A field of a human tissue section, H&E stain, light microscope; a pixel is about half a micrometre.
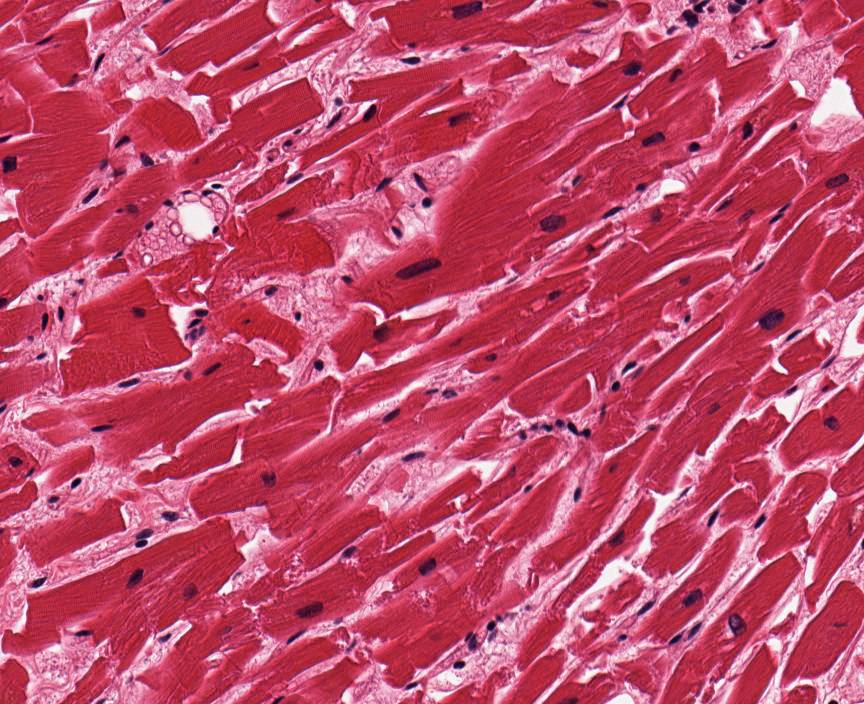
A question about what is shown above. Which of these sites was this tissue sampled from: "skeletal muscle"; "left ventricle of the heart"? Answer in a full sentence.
The site this tissue was sampled from is the left ventricle of the heart.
